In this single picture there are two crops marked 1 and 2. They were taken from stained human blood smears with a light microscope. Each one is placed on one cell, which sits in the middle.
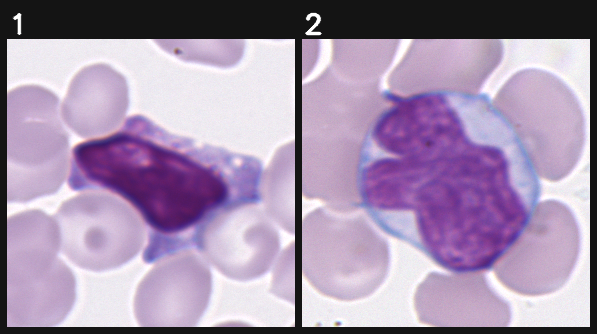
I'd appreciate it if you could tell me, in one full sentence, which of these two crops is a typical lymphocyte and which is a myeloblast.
Crop 1 is a typical lymphocyte, whilst crop 2 is a myeloblast.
